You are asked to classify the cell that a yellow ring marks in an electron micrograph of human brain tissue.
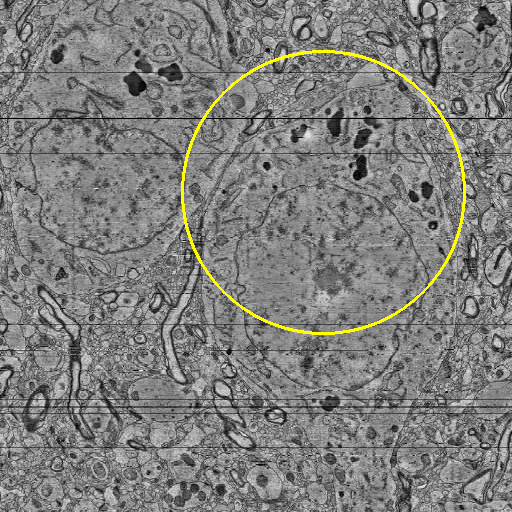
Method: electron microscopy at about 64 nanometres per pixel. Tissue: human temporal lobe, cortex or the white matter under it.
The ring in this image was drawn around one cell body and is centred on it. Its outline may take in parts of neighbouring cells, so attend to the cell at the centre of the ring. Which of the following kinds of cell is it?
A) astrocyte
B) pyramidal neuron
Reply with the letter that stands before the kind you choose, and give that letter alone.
B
